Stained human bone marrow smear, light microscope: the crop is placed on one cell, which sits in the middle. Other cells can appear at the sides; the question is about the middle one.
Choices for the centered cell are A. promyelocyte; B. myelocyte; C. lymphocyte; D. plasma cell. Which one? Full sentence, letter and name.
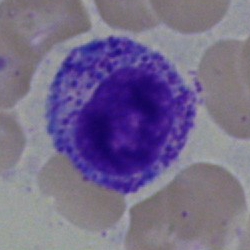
Option B gives the correct identity of the central cell, namely a myelocyte.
